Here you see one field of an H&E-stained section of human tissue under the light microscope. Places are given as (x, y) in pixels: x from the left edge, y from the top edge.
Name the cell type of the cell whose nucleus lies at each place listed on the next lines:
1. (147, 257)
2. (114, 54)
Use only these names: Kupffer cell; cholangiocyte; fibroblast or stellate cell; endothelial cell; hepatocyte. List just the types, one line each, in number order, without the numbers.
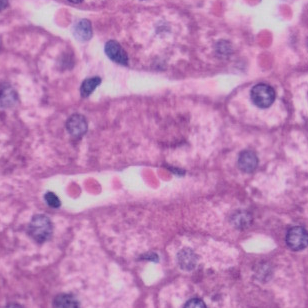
endothelial cell
fibroblast or stellate cell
